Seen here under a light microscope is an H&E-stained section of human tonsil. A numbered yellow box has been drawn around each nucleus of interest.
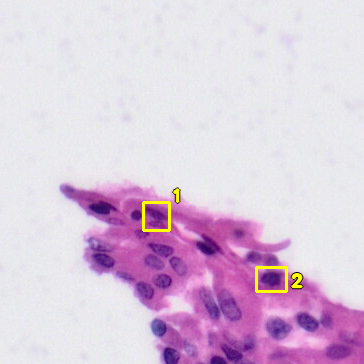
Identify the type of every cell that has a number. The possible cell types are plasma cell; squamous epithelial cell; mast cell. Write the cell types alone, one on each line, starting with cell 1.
squamous epithelial cell
plasma cell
